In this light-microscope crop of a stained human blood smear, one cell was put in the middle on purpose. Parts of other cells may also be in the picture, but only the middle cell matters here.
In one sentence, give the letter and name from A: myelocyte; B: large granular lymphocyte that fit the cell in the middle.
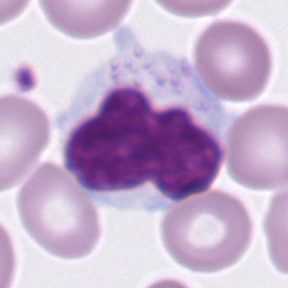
The correct response is option B, naming the cell in the middle as a large granular lymphocyte.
